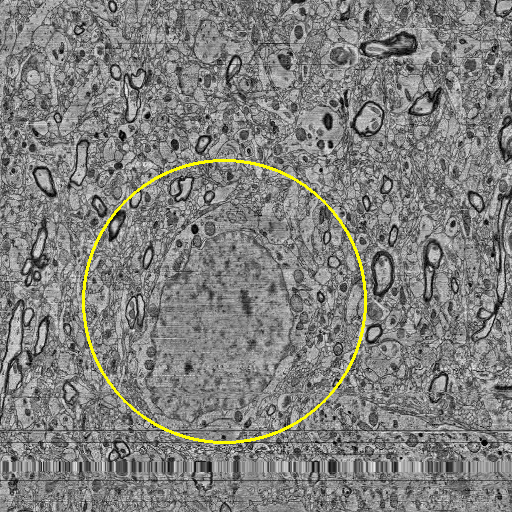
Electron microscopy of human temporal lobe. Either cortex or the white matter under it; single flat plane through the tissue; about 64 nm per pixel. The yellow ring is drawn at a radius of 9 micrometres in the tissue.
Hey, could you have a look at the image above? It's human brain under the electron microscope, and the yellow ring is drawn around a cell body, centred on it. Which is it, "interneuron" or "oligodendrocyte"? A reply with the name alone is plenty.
interneuron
